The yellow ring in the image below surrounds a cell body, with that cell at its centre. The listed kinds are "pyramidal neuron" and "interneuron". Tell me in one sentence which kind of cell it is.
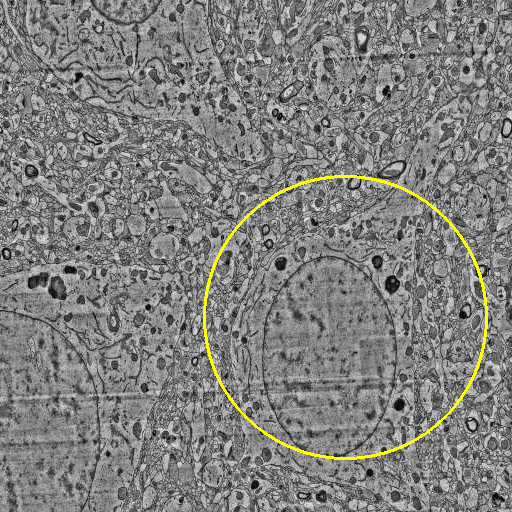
The centre of the ring holds a pyramidal neuron.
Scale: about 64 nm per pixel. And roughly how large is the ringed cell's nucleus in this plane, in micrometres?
About 13 by 9 micrometers, in this plane.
